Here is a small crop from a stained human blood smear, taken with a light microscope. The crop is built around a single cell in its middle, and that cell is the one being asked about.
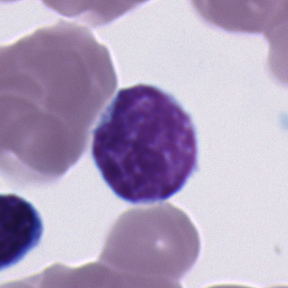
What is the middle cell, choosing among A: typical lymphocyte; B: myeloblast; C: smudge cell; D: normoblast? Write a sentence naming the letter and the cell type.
Here the central cell is a typical lymphocyte, and option A is correct.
